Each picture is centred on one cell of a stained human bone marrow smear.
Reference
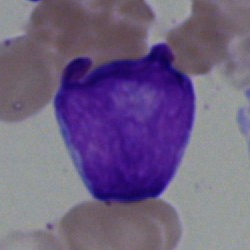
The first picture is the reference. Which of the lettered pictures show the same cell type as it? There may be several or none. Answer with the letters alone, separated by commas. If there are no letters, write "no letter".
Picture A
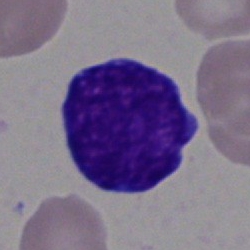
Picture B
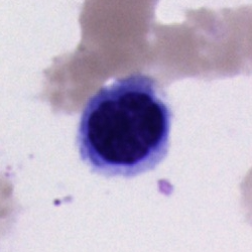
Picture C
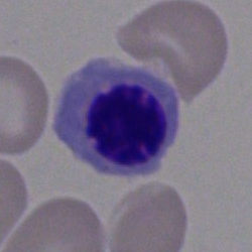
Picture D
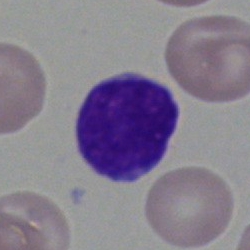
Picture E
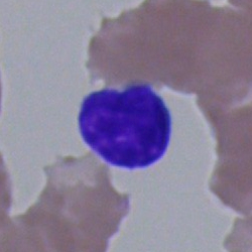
A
